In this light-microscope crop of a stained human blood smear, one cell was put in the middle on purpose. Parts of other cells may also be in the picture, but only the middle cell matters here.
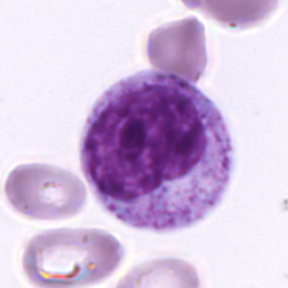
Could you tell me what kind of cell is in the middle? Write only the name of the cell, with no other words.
metamyelocyte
